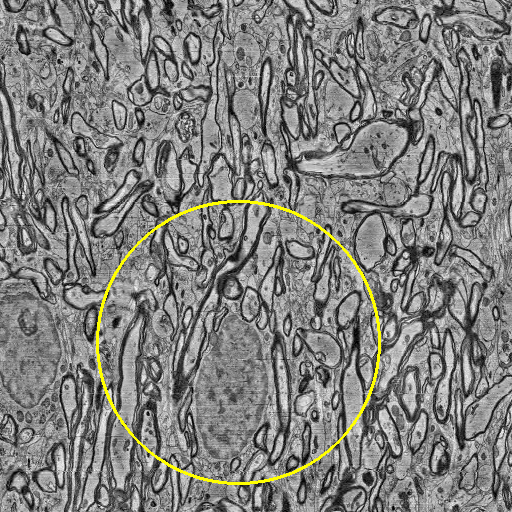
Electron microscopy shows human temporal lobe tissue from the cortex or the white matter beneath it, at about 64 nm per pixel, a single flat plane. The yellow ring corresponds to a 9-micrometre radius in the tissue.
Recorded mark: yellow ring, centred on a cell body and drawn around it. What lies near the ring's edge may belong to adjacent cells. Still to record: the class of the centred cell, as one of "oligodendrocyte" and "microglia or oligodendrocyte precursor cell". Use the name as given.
oligodendrocyte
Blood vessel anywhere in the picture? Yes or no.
No, no blood vessel shows in the picture.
